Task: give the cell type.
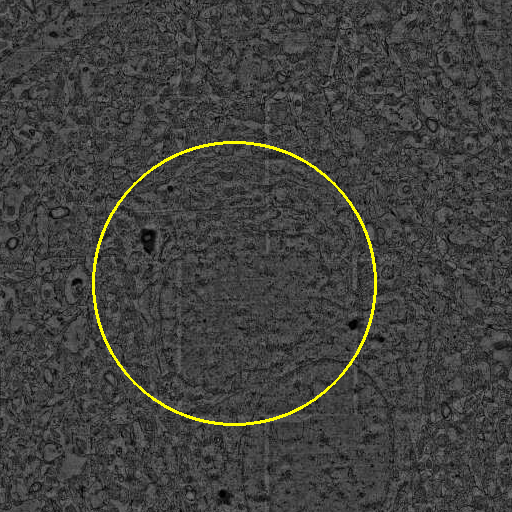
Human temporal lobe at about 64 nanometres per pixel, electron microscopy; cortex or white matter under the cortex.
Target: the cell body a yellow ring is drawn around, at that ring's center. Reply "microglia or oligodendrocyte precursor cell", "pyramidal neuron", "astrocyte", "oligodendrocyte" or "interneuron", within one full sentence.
In this picture, the cell whose body lies at the ring's center is an interneuron.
